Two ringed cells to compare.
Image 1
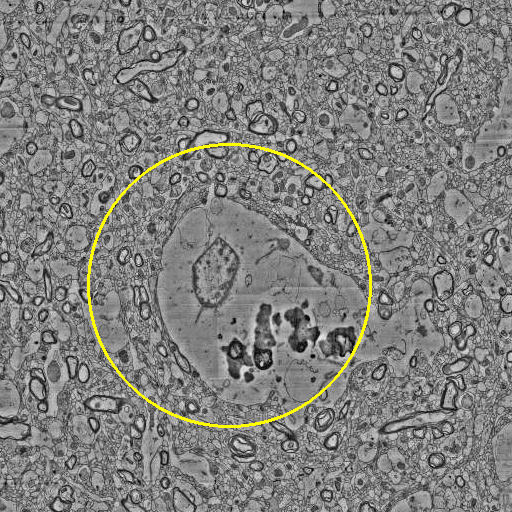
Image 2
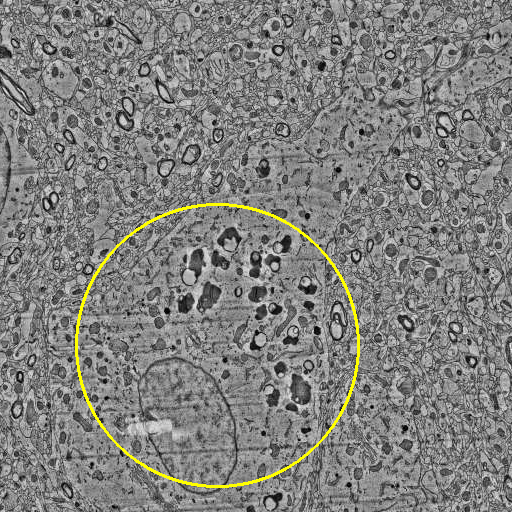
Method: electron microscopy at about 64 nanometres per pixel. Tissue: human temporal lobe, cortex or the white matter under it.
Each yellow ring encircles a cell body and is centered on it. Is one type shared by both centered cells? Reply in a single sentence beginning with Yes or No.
No, two types are found among the cells at the centers of the rings.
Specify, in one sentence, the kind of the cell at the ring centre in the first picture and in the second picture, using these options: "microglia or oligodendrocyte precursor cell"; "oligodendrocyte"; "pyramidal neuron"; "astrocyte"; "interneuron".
So the first is an astrocyte, the second a pyramidal neuron.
